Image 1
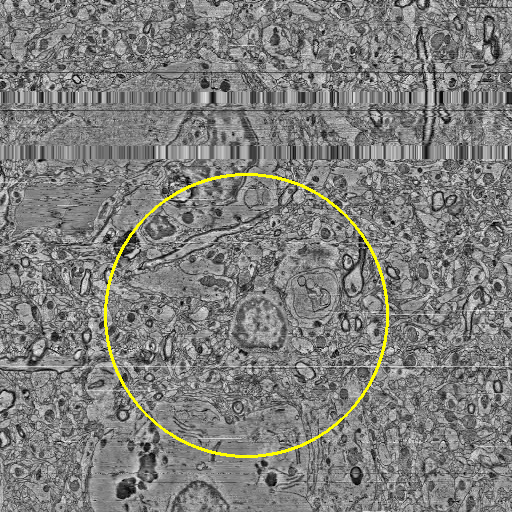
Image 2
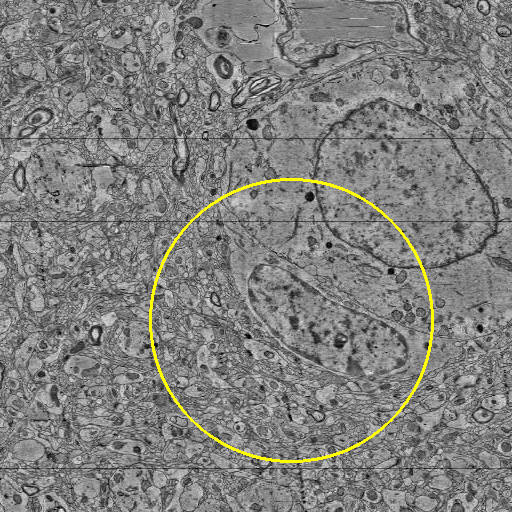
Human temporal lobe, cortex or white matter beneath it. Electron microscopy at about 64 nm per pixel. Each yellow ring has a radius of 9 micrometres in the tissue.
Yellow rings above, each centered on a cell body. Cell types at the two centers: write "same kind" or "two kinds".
two kinds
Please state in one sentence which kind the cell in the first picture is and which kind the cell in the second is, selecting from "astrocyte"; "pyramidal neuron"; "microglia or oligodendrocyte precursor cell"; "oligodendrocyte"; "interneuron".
The first ringed cell is an oligodendrocyte, the second ringed cell a microglial cell or oligodendrocyte precursor cell.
